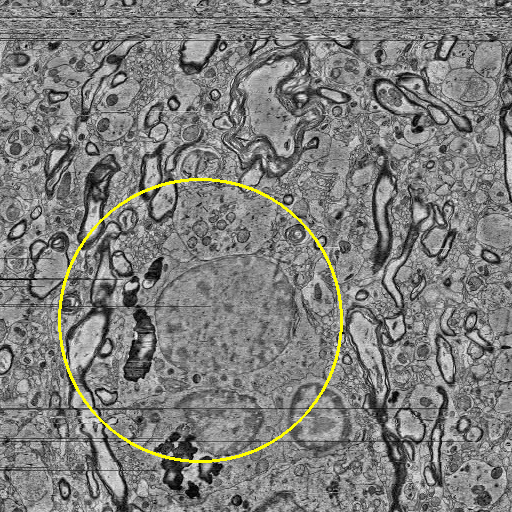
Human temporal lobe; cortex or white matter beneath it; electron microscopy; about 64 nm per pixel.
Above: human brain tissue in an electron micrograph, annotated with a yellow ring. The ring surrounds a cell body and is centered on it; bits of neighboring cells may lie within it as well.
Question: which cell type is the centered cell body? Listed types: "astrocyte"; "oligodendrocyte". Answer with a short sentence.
The centered cell body is an oligodendrocyte.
